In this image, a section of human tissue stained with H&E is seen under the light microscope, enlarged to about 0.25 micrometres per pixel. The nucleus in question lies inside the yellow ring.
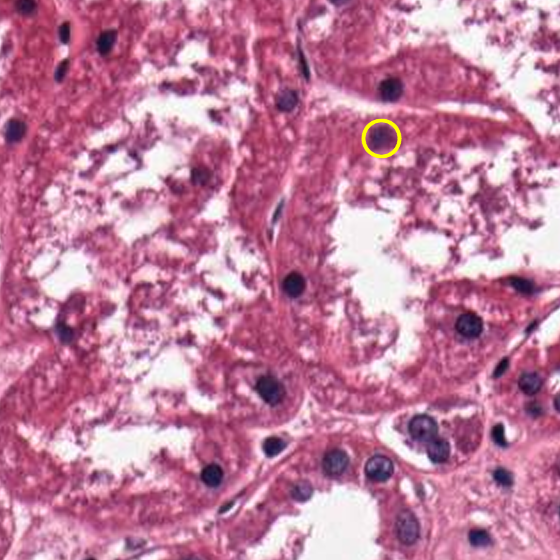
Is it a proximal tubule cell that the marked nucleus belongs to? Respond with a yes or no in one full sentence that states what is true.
Yes, the cell to which the marked nucleus belongs is a proximal tubule cell.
